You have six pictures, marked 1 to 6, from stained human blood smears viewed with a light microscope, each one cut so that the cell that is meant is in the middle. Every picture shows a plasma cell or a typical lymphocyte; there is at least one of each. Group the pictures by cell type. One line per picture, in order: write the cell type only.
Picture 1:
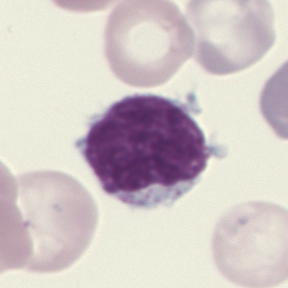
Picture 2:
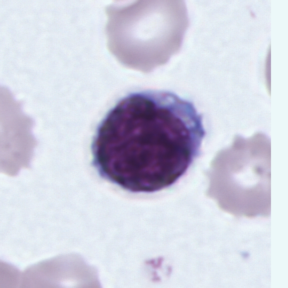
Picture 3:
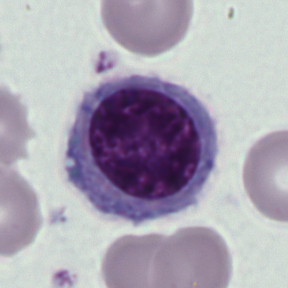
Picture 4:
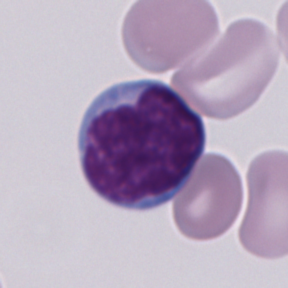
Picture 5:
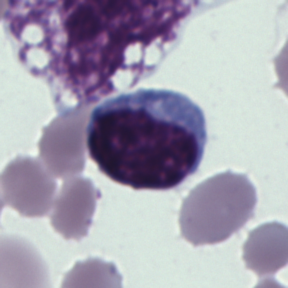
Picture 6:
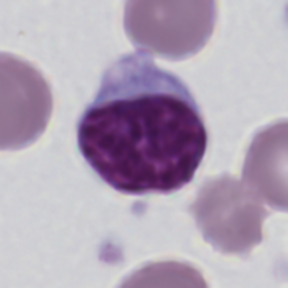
typical lymphocyte
plasma cell
plasma cell
typical lymphocyte
typical lymphocyte
plasma cell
